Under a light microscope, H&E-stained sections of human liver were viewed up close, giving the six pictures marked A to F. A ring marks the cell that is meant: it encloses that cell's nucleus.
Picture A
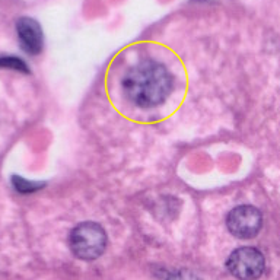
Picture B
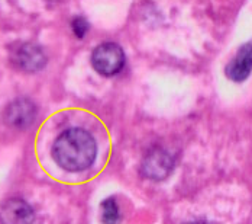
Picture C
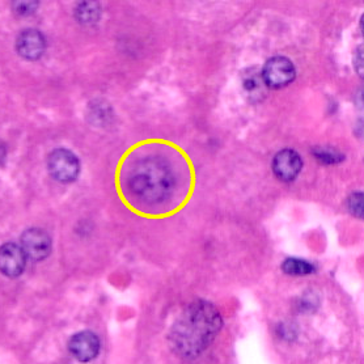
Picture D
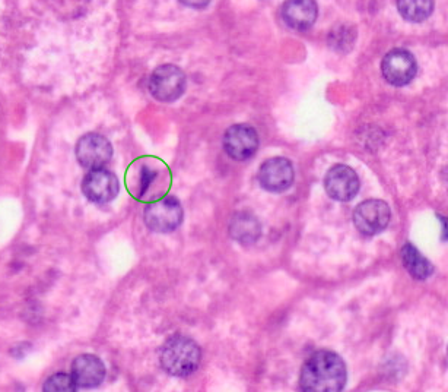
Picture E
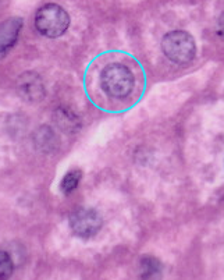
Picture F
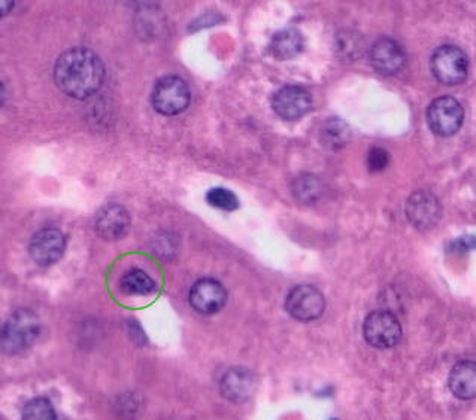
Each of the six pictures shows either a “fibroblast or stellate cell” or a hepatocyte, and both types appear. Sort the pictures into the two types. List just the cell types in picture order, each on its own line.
hepatocyte
hepatocyte
hepatocyte
fibroblast or stellate cell
hepatocyte
fibroblast or stellate cell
